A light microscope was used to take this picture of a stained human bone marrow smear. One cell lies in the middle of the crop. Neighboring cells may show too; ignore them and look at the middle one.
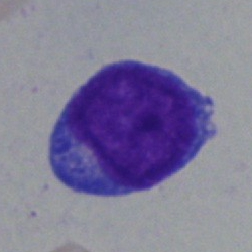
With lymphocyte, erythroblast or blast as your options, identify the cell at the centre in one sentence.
In the center of this field lies a blast.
